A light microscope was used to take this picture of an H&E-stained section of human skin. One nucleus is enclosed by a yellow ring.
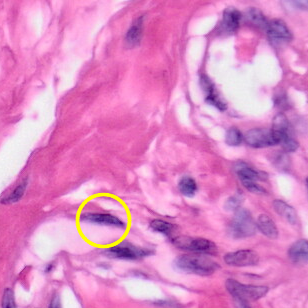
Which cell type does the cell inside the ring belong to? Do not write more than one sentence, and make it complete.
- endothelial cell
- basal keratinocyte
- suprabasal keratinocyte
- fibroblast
Right, so the cell inside the ring is an endothelial cell, to answer that.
